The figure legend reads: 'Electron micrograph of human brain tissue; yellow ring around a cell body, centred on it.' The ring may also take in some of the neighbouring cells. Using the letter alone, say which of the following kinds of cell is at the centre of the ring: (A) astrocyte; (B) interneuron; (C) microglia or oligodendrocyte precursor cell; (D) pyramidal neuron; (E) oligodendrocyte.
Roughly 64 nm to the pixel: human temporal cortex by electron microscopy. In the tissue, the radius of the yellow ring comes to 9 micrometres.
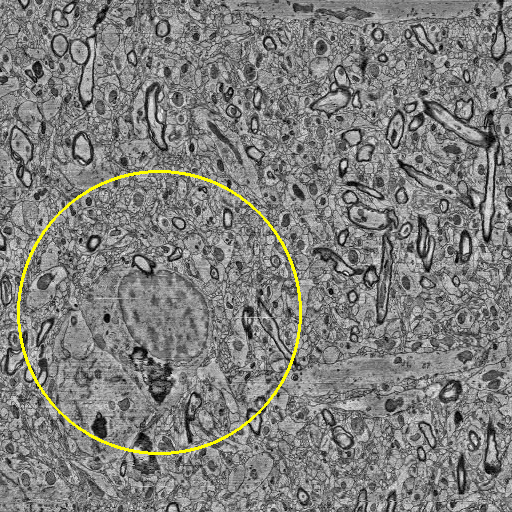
E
